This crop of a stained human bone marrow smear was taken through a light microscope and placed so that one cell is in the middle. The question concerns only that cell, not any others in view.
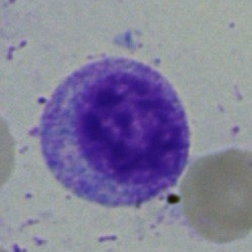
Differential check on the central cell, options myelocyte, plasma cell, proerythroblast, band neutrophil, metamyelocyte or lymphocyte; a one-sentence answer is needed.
Classified as a myelocyte is the cell in the middle of this crop.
